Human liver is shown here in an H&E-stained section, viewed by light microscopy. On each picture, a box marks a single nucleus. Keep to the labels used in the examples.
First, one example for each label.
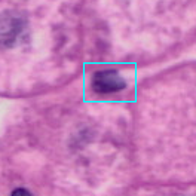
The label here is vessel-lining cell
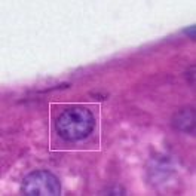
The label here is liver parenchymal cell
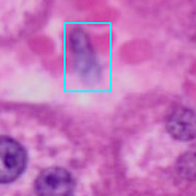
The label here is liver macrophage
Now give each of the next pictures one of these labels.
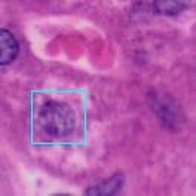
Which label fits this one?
liver parenchymal cell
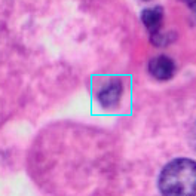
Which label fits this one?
liver macrophage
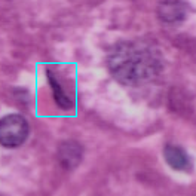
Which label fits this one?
vessel-lining cell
